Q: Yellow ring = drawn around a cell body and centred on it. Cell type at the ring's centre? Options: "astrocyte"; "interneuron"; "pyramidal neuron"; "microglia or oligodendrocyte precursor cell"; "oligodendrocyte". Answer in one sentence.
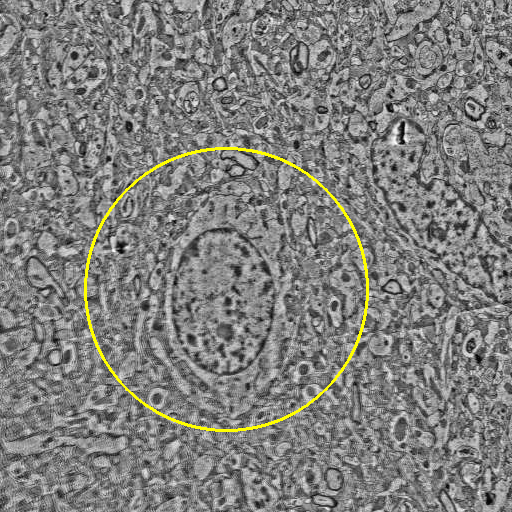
Centred in the ring is an astrocyte.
